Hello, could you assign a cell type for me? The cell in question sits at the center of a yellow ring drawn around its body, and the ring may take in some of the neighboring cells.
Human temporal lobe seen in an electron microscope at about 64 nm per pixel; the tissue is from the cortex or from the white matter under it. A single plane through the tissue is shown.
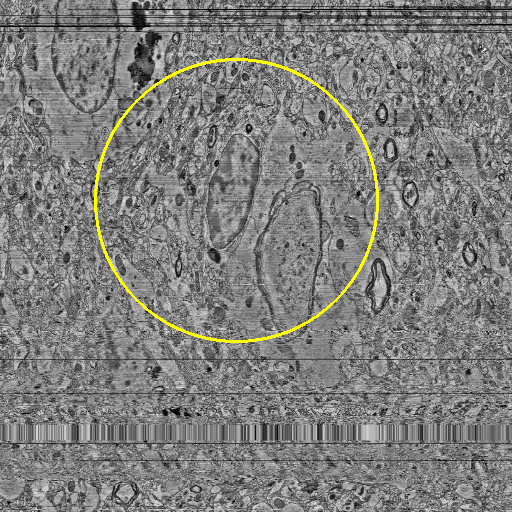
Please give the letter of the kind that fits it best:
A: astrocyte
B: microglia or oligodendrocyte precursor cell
B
